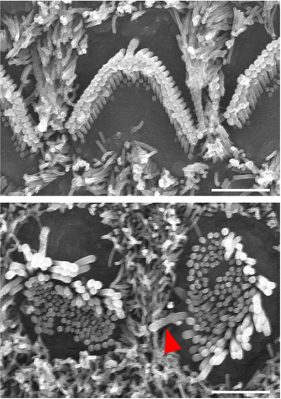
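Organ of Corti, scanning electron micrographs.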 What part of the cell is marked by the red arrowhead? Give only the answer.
Kinocilium.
